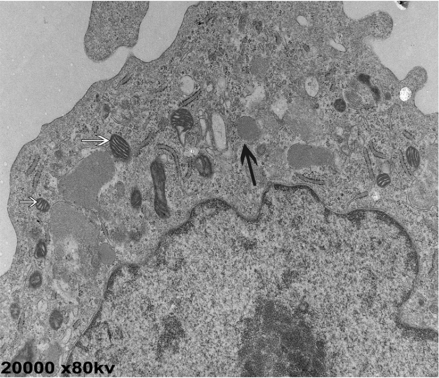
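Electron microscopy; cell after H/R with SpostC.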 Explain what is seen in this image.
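This transmission electron micrograph shows the cytoplasm of a cell with part of the nucleus along the lower edge, bounded by a clearly visible nuclear envelope. The cell surface at the top is irregular, with short projections extending into the clear surrounding space. Scattered through the cytoplasm are oval and elongated mitochondria with dense matrix and well-ordered parallel cristae. Patches of homogeneous grey material and a few small vesicles lie between the mitochondria. The nucleus shows finely granular chromatin with a denser clump near the bottom.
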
